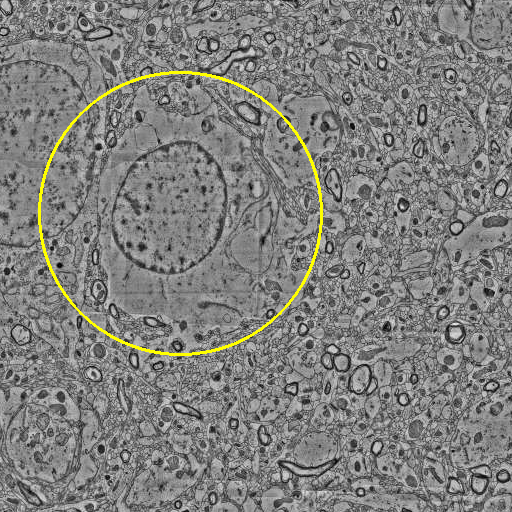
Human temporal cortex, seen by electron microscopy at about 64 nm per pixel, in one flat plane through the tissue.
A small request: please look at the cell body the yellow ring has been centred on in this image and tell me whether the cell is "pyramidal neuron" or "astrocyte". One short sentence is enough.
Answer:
The cell marked by the ring is an astrocyte.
